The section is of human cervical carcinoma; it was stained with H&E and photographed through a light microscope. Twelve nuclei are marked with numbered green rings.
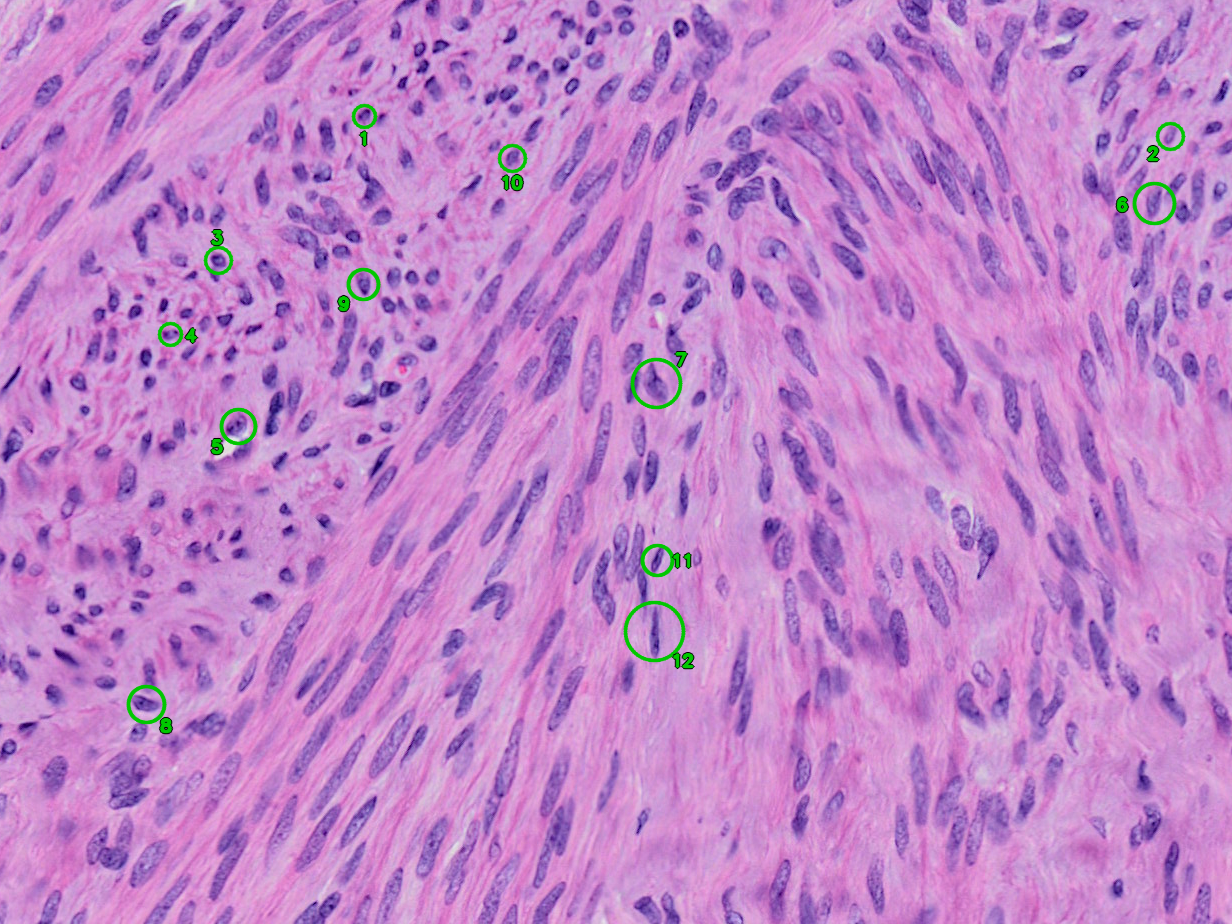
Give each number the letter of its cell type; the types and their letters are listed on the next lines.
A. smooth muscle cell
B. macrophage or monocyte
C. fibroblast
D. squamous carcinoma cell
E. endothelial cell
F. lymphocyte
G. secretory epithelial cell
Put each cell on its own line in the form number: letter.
1: A
2: A
3: A
4: A
5: E
6: A
7: C
8: C
9: A
10: A
11: C
12: C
